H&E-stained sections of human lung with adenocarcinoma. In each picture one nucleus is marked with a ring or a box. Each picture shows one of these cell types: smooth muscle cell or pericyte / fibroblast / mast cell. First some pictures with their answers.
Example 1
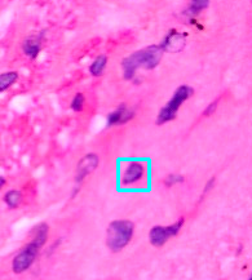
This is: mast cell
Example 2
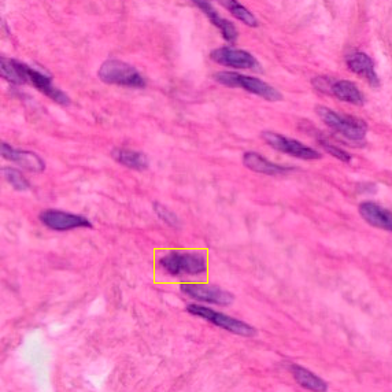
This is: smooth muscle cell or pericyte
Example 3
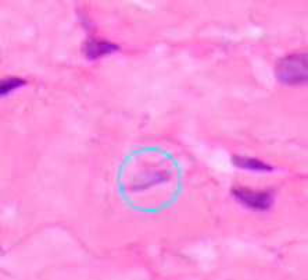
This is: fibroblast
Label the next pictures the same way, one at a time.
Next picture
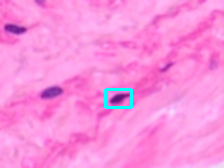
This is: smooth muscle cell or pericyte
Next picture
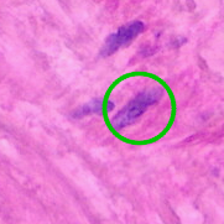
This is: smooth muscle cell or pericyte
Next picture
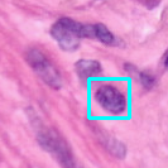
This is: mast cell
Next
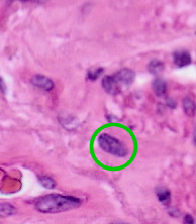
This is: mast cell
